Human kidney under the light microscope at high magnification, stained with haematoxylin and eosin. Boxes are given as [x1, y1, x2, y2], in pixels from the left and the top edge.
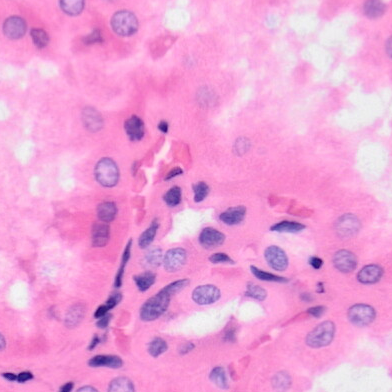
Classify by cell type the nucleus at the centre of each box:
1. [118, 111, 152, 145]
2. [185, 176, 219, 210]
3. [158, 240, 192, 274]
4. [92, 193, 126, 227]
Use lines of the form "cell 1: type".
cell 1: proximal tubule cell
cell 2: collecting duct cell
cell 3: collecting duct cell
cell 4: proximal tubule cell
